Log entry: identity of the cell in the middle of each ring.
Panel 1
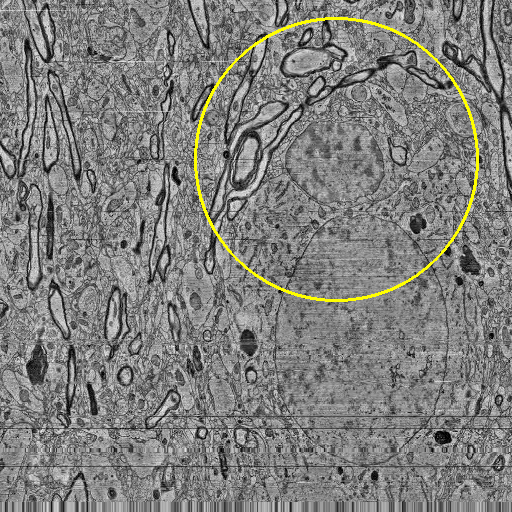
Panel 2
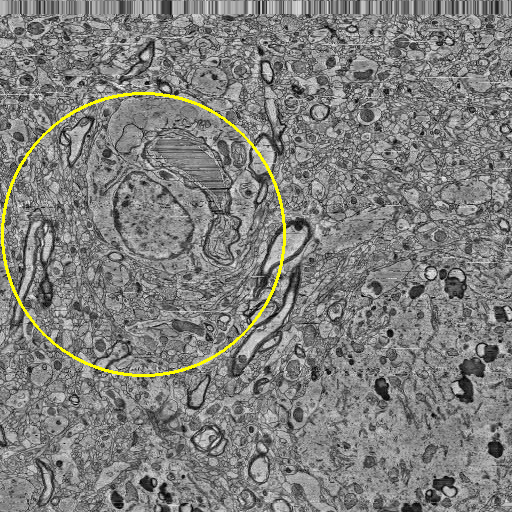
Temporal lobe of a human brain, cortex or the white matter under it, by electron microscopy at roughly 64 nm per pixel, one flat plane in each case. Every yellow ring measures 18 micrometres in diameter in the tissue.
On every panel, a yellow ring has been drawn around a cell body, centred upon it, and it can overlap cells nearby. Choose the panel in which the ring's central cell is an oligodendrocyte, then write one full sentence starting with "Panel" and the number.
Panel 1 shows the requested cell sitting in the middle of its ring.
